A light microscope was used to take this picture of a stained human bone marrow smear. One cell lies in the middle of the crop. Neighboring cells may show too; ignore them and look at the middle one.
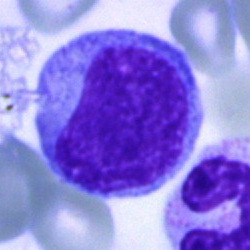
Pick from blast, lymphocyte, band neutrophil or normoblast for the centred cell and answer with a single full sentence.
Seen at the centre of the crop is a blast.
